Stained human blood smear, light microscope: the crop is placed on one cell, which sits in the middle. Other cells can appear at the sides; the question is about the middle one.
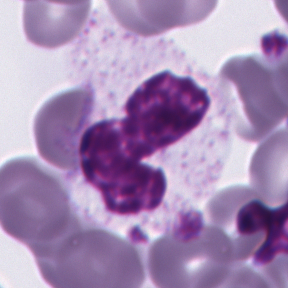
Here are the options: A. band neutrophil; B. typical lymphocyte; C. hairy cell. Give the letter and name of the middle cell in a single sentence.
The cell right in the middle is a band neutrophil, so option A is the one.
